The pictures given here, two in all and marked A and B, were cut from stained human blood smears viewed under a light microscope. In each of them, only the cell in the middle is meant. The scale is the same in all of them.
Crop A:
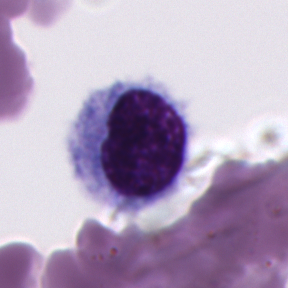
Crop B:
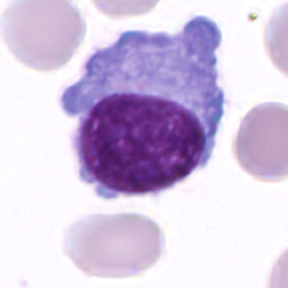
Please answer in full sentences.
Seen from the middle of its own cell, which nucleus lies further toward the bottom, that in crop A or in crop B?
The nucleus in crop B lies further toward the bottom of its cell.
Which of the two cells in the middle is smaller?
The cell in crop A is smaller; the one in crop B has about 1.5 times its area.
